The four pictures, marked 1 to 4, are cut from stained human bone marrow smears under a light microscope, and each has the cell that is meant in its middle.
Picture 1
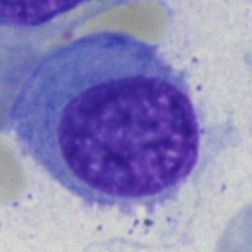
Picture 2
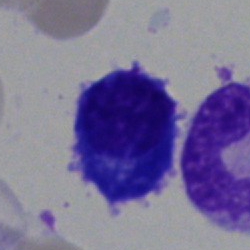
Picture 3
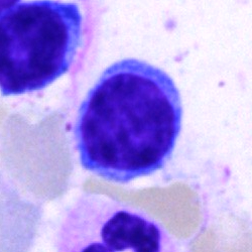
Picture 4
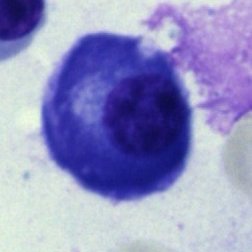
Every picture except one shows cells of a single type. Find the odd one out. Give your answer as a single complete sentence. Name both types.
All pictures except 3 show plasma cells; picture 3 shows a lymphocyte.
